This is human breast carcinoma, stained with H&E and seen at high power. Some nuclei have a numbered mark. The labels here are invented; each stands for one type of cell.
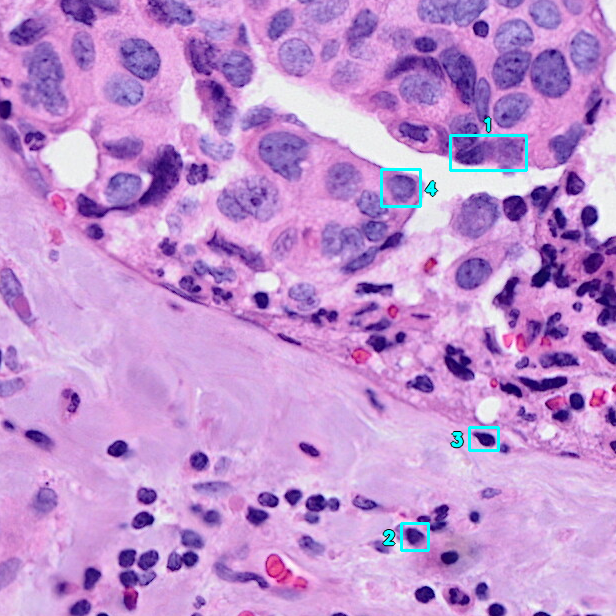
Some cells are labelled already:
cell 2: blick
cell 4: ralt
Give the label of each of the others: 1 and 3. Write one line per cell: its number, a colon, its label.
1: ralt
3: blick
